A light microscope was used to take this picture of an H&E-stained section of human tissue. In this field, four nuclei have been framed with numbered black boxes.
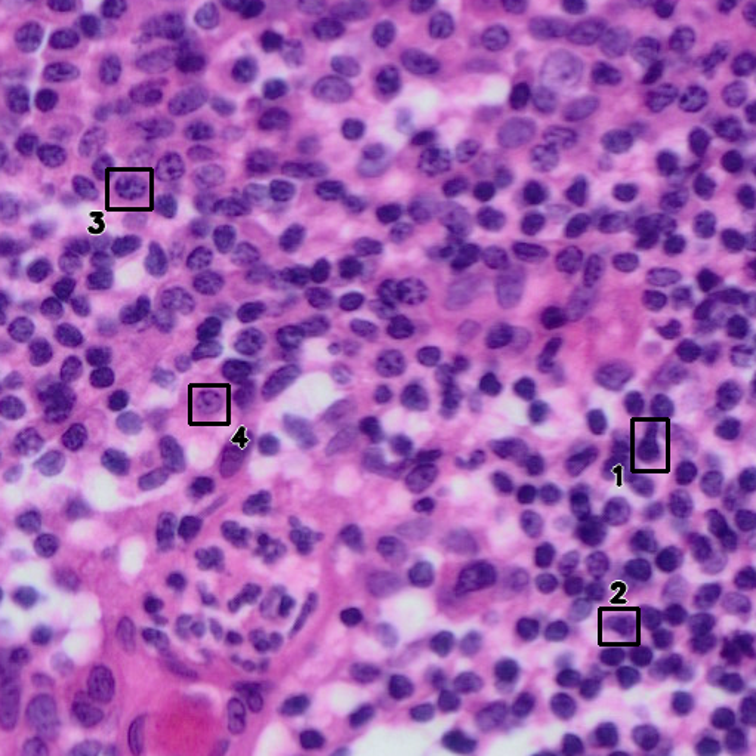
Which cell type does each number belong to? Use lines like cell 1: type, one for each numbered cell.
cell 1: small lymphocyte
cell 2: small lymphocyte
cell 3: plasma cell
cell 4: plasma cell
